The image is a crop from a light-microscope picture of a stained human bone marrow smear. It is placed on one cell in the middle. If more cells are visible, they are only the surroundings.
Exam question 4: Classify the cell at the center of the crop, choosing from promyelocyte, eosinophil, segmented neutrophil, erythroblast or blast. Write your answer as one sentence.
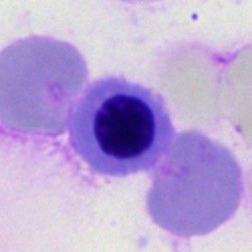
The cell shown in the center of this light-microscope crop is an erythroblast.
